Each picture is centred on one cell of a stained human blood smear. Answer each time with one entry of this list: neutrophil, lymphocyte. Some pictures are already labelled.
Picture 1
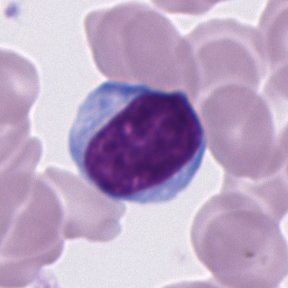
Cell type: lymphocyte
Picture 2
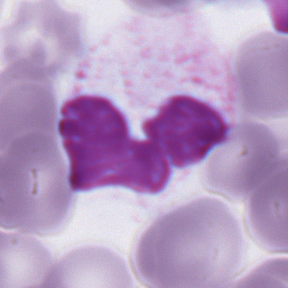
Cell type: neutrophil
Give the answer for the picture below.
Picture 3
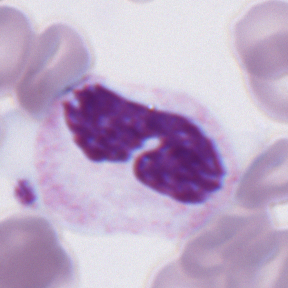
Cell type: neutrophil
